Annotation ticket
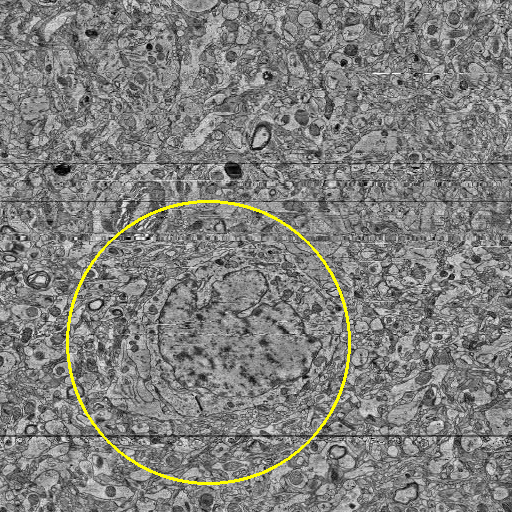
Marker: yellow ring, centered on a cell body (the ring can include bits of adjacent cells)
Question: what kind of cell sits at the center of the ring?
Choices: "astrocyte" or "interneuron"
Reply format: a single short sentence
The ring is centered on an interneuron.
